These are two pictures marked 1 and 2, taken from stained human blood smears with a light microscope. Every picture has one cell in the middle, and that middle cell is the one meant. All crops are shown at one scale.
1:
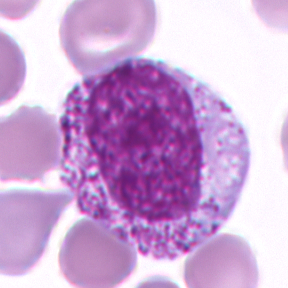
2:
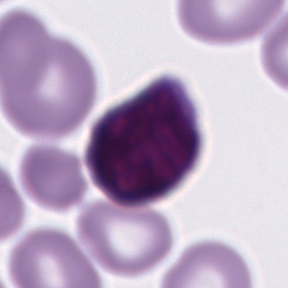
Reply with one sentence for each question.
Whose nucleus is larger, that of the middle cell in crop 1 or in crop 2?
It is the nucleus in crop 1, about 1.5 times as large in area as the one in crop 2.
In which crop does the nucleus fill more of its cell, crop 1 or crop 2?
It is the cell in crop 2 that is filled more by its nucleus.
